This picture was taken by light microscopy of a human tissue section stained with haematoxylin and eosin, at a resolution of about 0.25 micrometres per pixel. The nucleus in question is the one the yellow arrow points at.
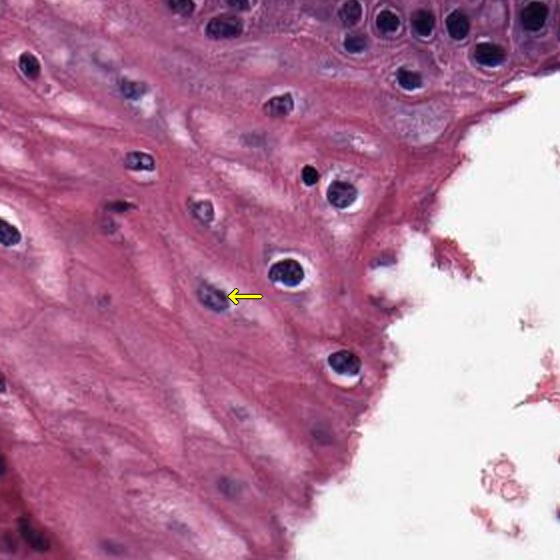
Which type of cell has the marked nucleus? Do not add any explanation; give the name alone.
squamous epithelial cell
